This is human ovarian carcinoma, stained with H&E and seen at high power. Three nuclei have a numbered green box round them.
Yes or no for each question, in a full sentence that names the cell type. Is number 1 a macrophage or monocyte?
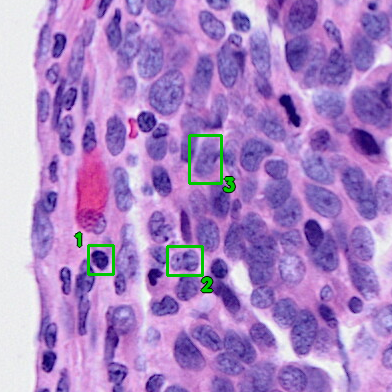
No, cell 1 is correctly identified as a lymphocyte and not as a macrophage or monocyte.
